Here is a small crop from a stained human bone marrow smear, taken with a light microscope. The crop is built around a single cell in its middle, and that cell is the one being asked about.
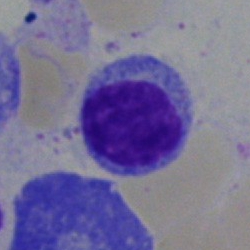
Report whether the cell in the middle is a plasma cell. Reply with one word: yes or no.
no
